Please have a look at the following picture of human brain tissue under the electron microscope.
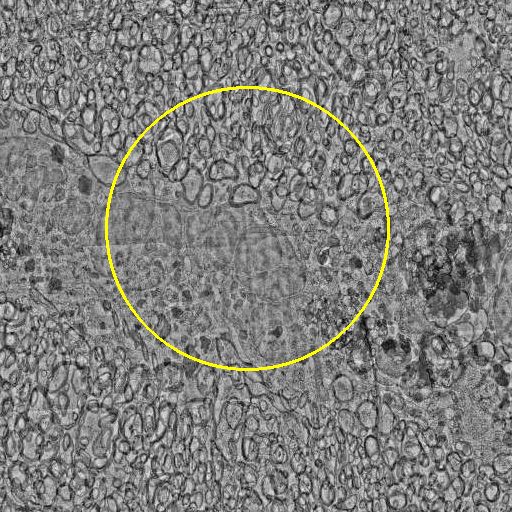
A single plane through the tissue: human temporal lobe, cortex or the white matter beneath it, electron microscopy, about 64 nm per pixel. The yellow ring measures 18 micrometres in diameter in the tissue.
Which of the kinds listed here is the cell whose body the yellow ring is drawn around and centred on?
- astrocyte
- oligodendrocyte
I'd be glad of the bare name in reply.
oligodendrocyte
